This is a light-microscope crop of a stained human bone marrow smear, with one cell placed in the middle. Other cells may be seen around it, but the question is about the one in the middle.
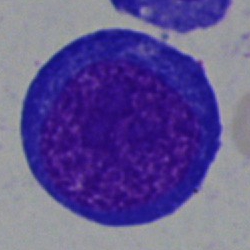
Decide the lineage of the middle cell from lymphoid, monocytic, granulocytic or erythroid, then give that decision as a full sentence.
The cell held in the center of the crop belongs to the erythroid lineage.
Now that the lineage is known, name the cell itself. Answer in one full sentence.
The target cell in the middle of the crop is a proerythroblast.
